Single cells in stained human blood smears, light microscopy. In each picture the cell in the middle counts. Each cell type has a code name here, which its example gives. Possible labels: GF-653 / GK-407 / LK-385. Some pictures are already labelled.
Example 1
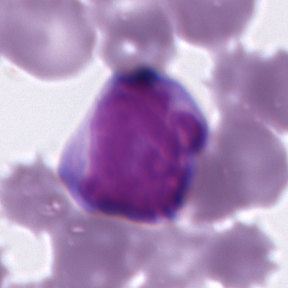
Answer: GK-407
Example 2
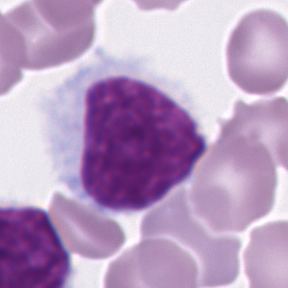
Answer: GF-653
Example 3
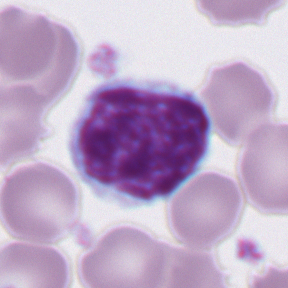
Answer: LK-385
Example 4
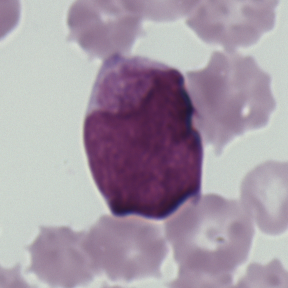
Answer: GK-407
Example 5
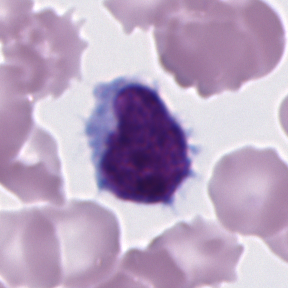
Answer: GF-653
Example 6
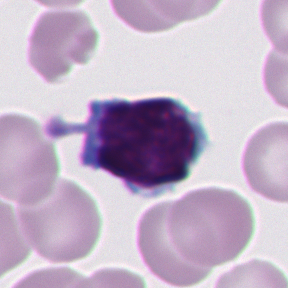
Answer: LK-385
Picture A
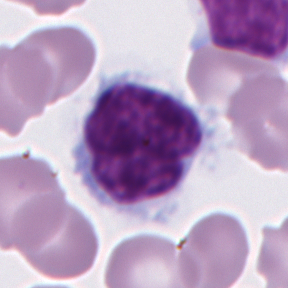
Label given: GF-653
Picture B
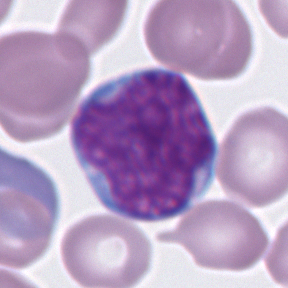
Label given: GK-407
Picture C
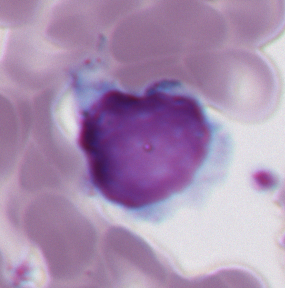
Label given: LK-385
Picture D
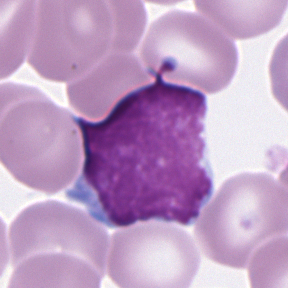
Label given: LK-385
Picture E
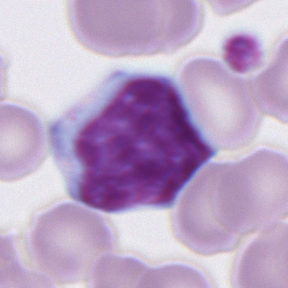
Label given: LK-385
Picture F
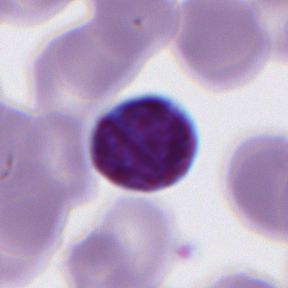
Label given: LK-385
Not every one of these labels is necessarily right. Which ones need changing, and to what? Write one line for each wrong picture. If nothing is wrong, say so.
No label is wrong.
